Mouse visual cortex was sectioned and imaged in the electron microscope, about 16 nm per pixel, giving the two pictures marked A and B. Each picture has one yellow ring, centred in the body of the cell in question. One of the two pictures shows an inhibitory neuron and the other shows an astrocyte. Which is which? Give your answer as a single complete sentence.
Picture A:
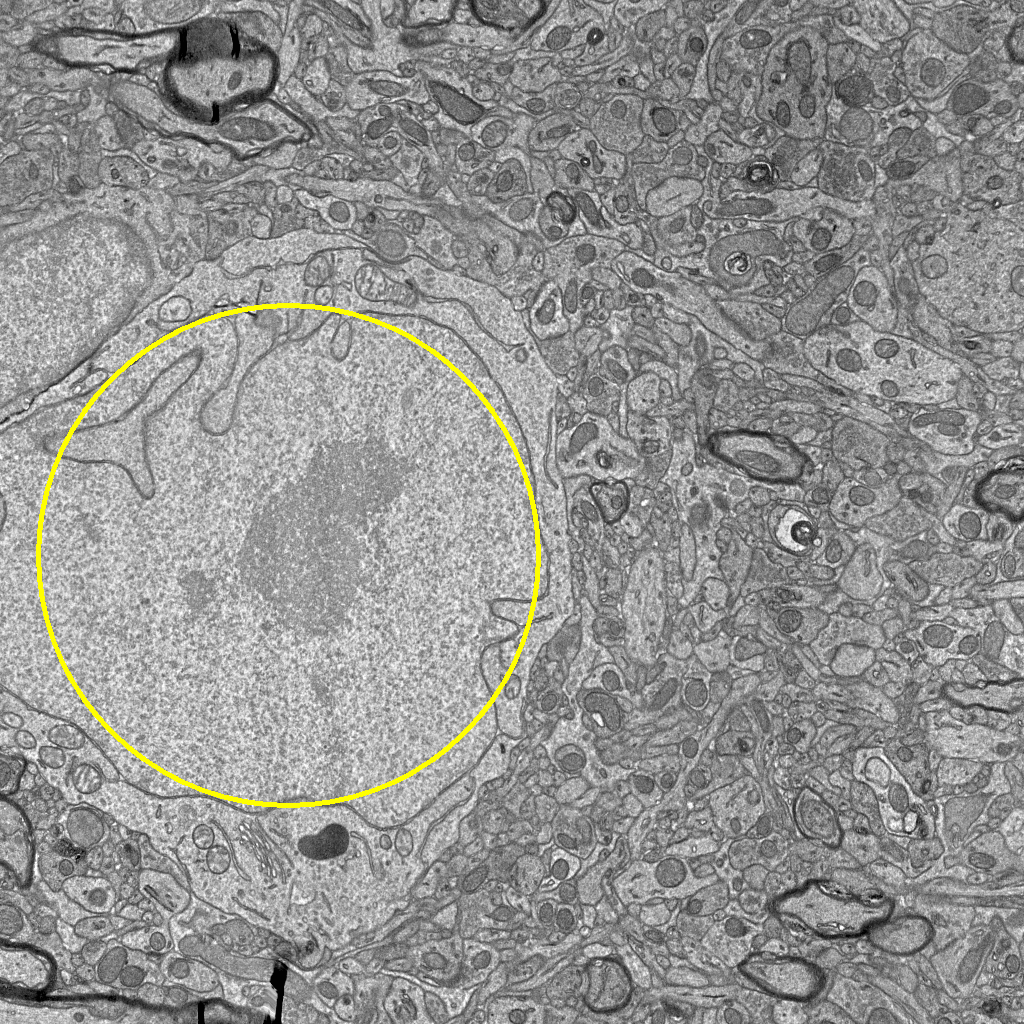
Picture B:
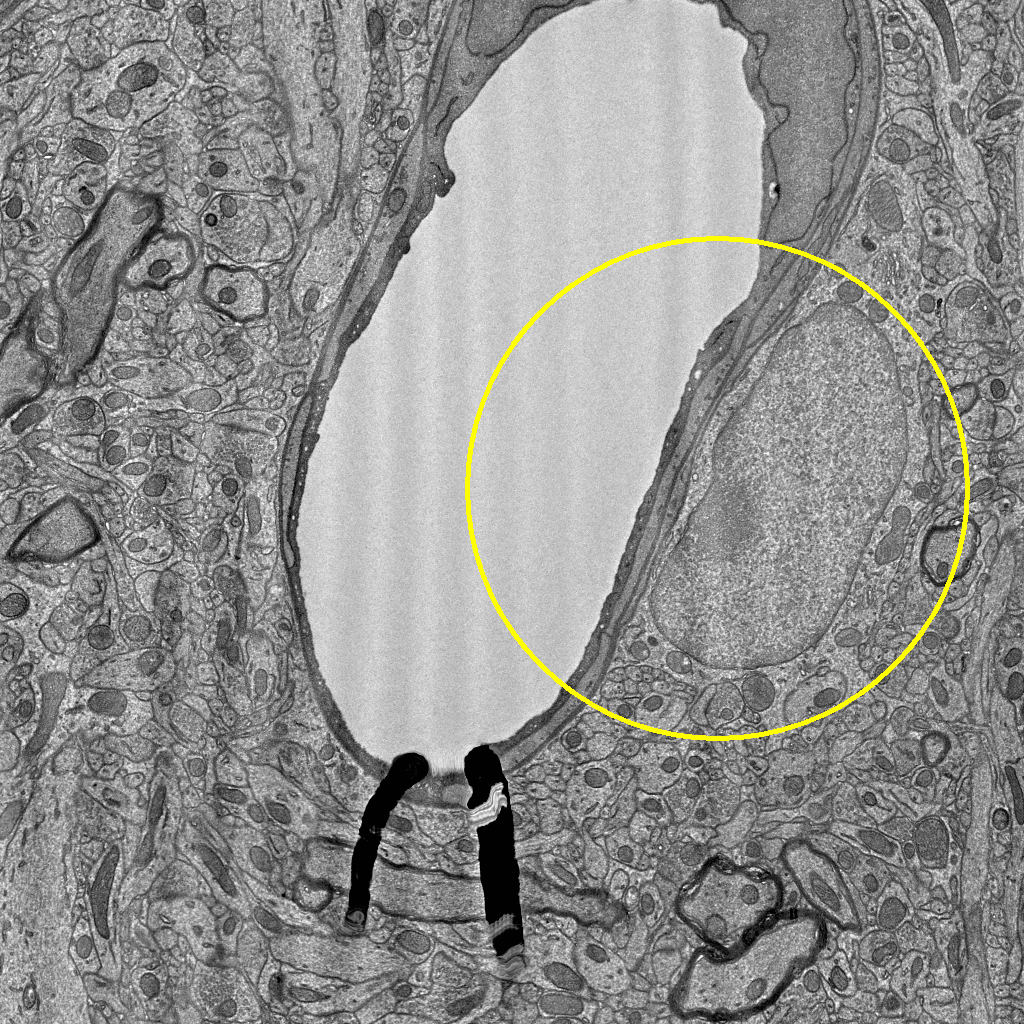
It is picture A that shows an inhibitory neuron, and picture B that shows an astrocyte.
